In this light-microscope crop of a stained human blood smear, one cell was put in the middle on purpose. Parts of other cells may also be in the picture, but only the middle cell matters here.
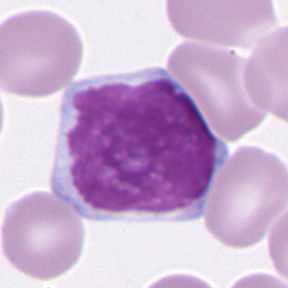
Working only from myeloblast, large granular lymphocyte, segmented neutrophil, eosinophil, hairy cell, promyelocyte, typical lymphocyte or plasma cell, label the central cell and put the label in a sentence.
The cell at the centre of the field is a typical lymphocyte.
